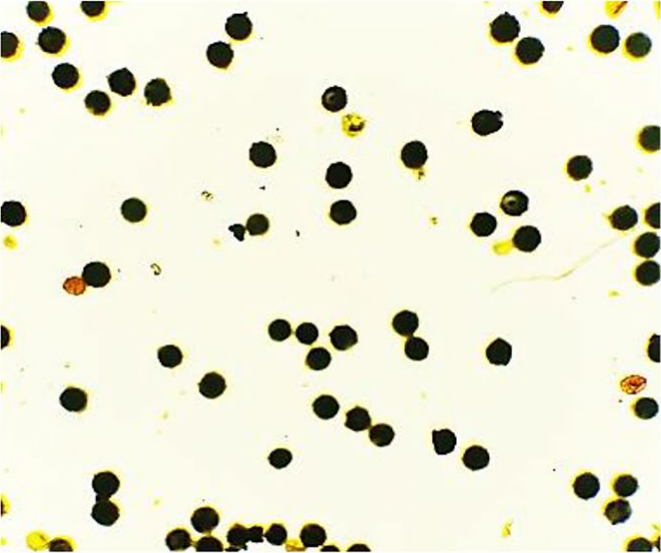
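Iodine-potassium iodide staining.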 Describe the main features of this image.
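These are pollen grains of a flowering plant, spread loosely over a pale background and lying singly or in small touching groups. Almost all of them are round and of much the same size, and they have taken up the stain so densely that they look solid dark brown to black. A few grains stand apart by being pale yellow or orange-red and somewhat smaller or irregular in outline. Small yellowish specks and a thin thread-like strand lie between the grains.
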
